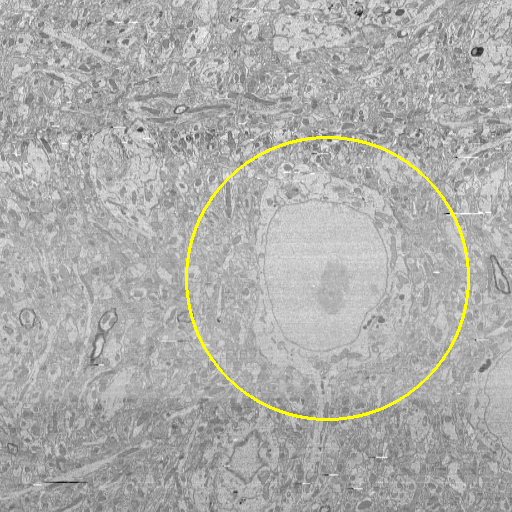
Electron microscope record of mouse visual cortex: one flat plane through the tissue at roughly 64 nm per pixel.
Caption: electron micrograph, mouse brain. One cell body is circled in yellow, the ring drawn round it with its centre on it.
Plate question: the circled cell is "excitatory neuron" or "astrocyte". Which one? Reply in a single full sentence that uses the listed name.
The yellow ring on the plate is centred on an excitatory neuron, going by the listed names.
